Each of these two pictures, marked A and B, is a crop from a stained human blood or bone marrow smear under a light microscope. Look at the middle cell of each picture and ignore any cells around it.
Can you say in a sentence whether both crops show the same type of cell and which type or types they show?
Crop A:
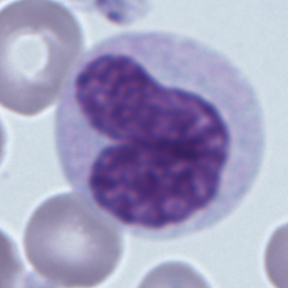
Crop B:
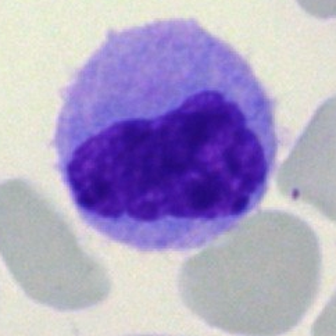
No, crop A shows a band neutrophil, whereas a monocyte is what crop B shows.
